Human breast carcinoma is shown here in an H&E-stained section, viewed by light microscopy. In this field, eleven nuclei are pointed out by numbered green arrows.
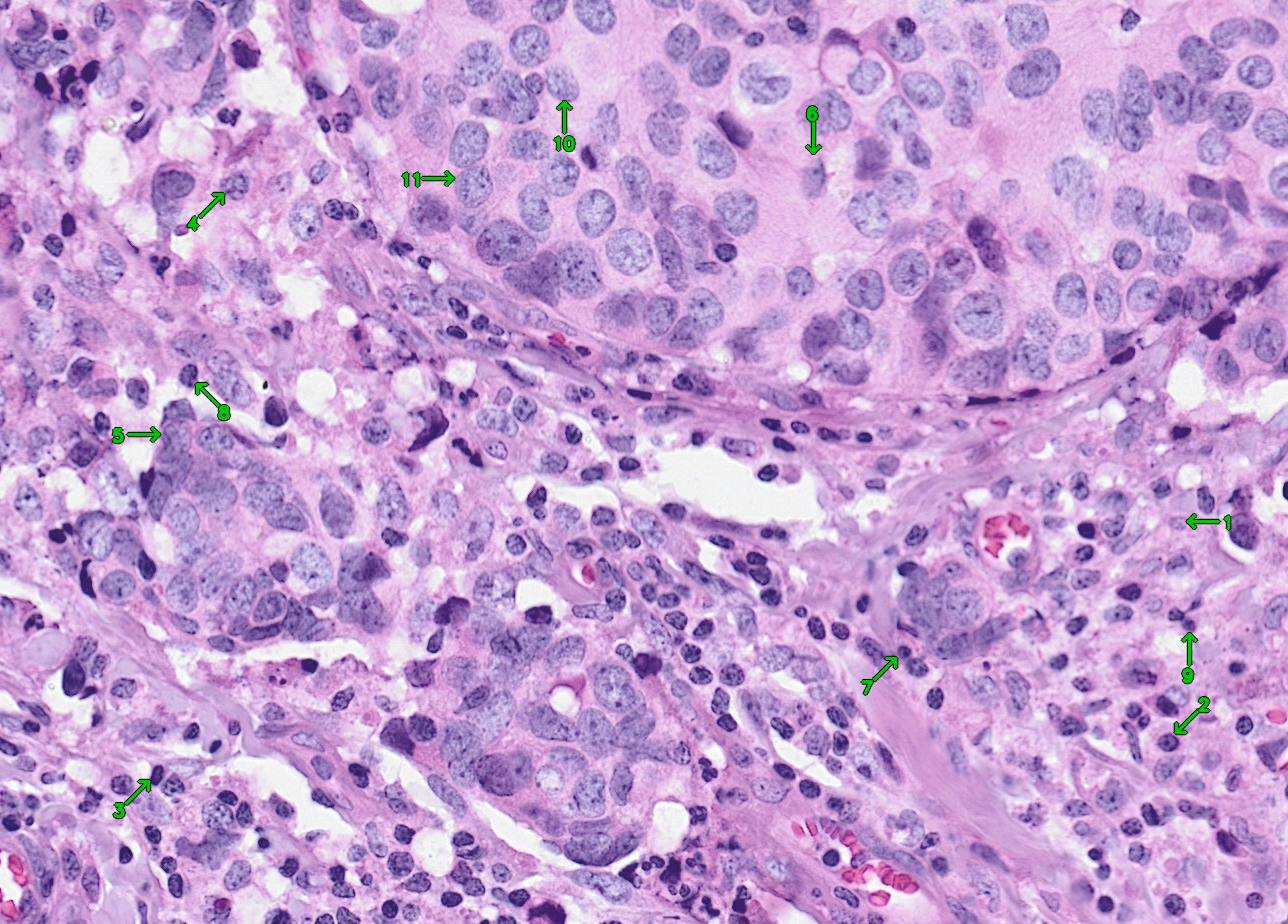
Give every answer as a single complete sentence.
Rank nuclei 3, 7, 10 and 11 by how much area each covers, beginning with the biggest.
From largest to smallest, the order is 11, 10, 3, 7.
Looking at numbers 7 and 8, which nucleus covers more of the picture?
Of the two, number 8 is bigger and takes up about 2 times the area of number 7.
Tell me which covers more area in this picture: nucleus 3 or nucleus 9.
Nucleus 3 is the larger one, covering about 2 times the area of nucleus 9.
